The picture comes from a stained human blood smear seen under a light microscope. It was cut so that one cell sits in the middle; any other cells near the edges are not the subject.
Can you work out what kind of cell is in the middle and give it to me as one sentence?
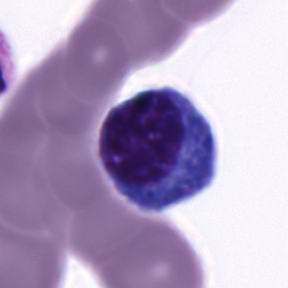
Regarding the central cell, it is a plasma cell.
